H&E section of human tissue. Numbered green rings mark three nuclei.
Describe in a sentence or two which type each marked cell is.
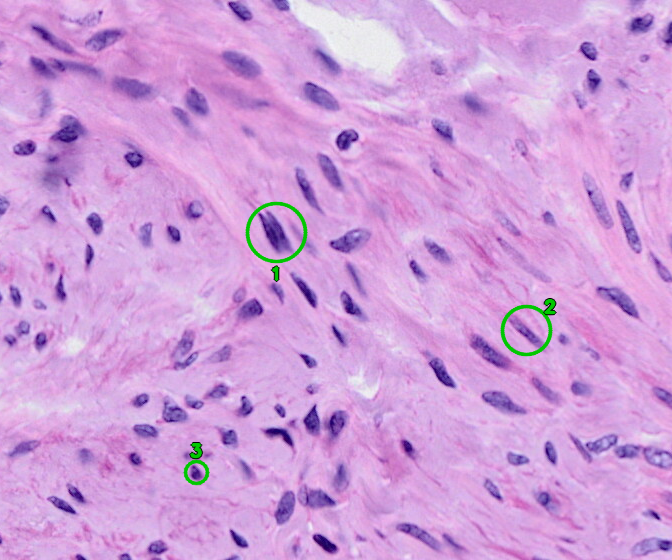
Cells 1 and 3 are fibroblasts. Cell 2 is a smooth muscle cell.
